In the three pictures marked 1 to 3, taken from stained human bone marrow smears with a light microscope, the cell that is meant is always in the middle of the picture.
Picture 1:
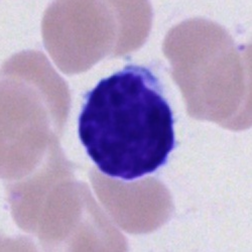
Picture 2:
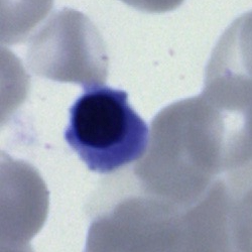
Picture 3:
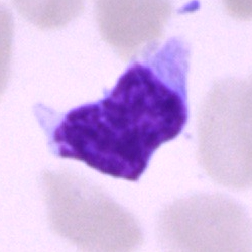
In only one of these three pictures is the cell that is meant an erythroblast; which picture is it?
2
